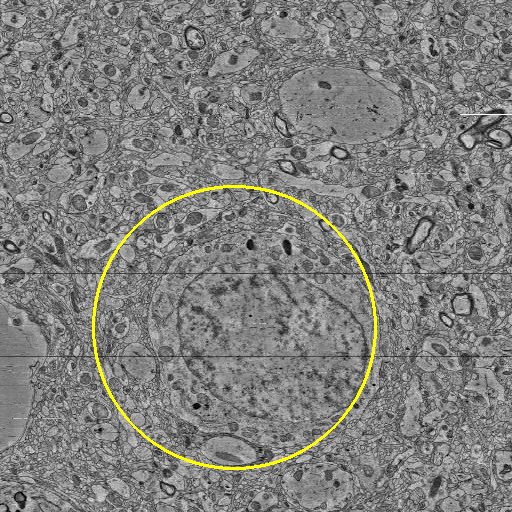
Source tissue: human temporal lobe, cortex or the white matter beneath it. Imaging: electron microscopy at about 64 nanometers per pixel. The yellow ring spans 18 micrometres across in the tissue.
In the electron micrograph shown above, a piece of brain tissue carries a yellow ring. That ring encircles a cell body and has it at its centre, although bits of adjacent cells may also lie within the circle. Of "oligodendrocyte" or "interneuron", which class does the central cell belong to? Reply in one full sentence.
The cell body at the centre of the yellow ring belongs to an interneuron.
